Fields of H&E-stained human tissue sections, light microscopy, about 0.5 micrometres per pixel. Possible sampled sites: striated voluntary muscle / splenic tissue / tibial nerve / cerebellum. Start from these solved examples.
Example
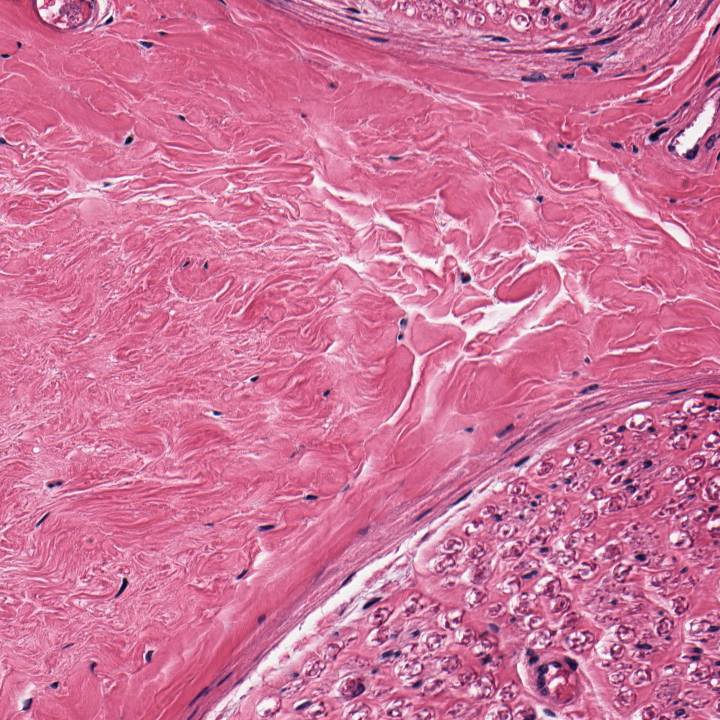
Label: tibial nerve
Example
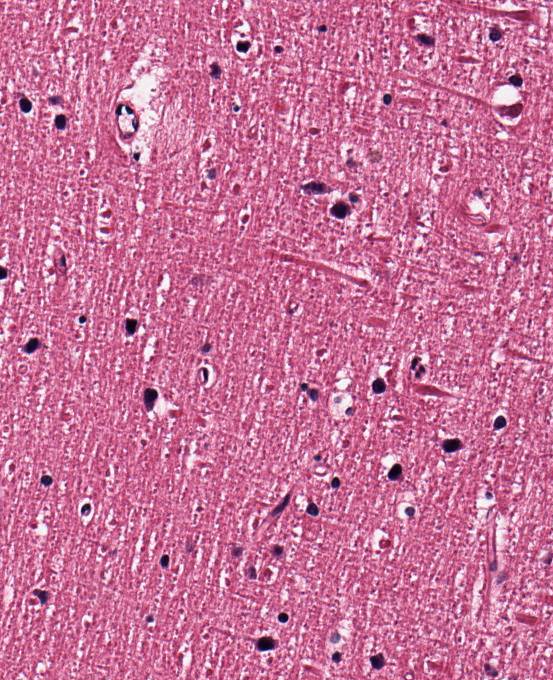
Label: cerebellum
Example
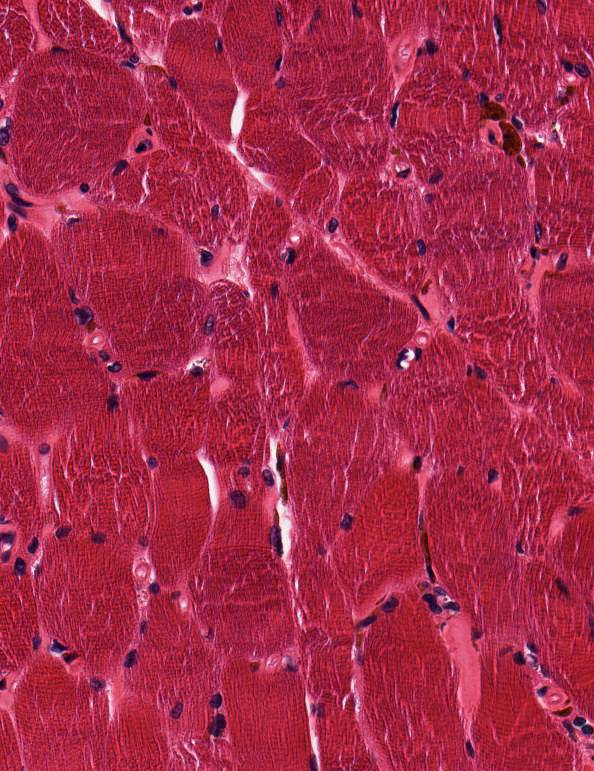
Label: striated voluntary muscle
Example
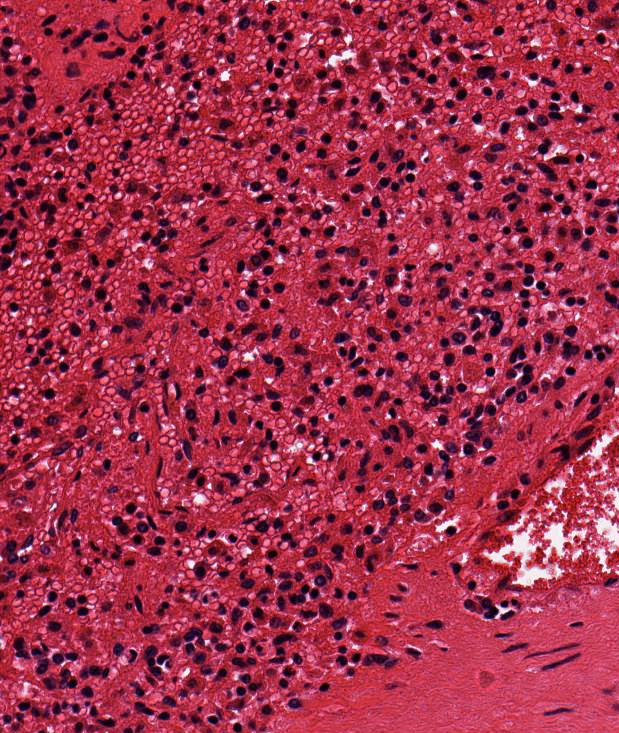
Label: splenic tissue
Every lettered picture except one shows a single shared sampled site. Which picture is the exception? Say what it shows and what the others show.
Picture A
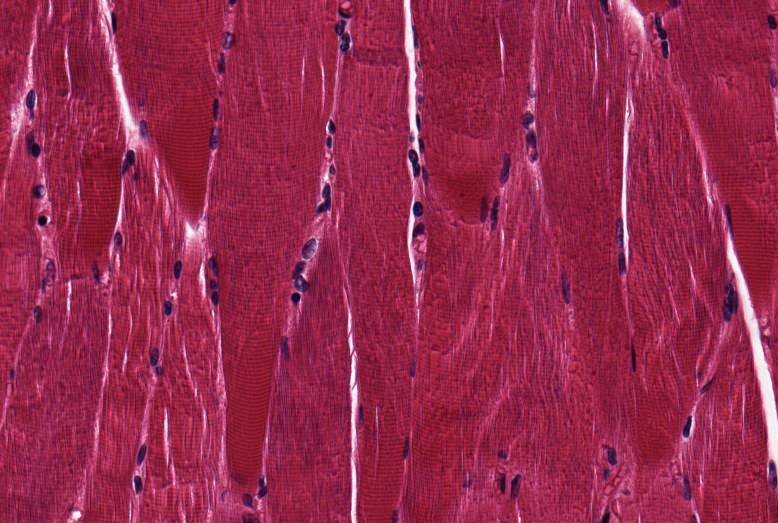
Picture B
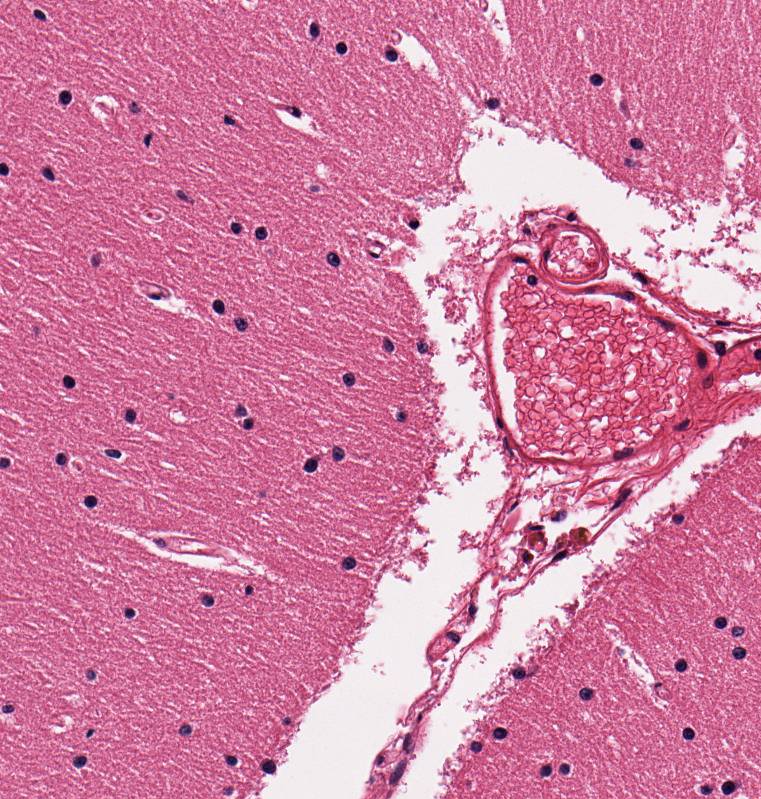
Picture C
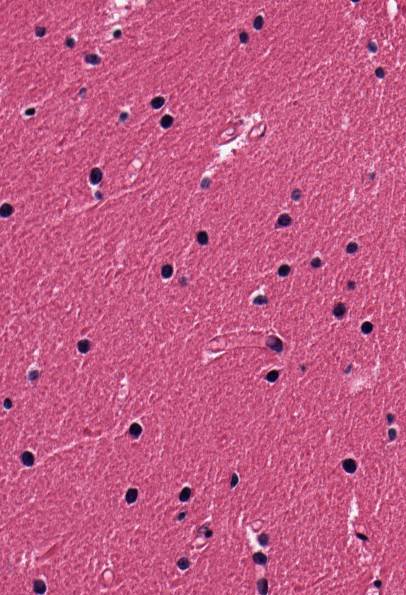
A differs and shows striated voluntary muscle; the others show cerebellum.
